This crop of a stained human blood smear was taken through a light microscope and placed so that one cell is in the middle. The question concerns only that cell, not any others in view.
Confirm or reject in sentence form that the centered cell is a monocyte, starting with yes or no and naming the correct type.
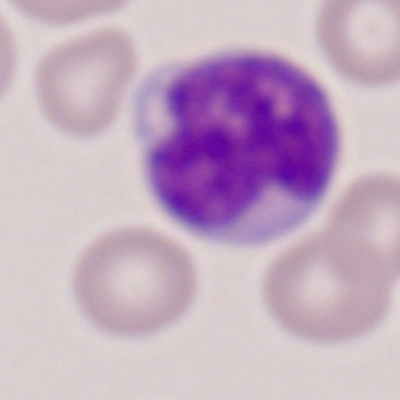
No, the centrally located cell is a lymphocyte rather than a monocyte.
